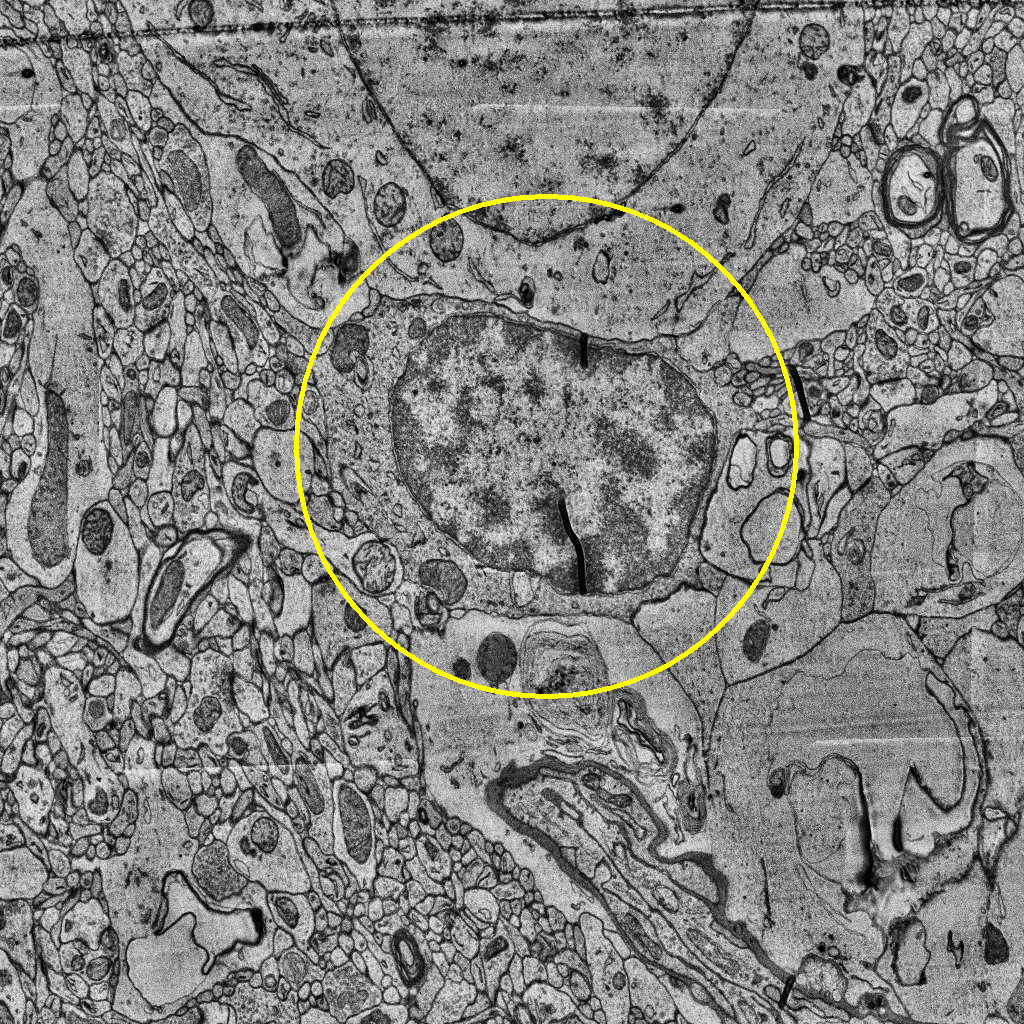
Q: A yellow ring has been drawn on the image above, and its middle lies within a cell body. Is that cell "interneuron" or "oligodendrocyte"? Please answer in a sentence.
The ring's middle lies in the cell body of an oligodendrocyte.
